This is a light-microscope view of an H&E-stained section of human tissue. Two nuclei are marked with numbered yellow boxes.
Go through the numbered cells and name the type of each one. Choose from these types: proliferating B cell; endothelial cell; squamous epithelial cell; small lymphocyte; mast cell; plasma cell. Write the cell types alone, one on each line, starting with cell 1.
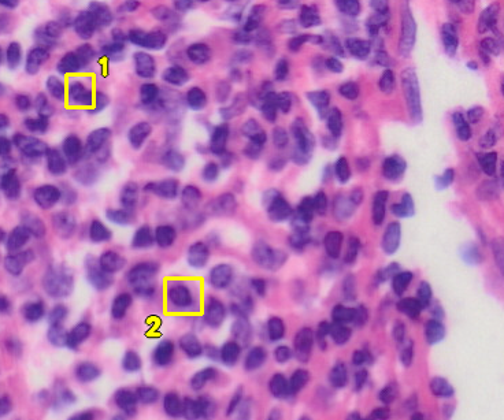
small lymphocyte
plasma cell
